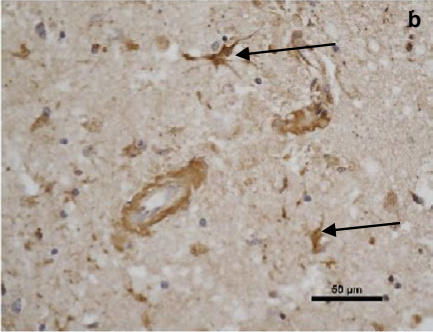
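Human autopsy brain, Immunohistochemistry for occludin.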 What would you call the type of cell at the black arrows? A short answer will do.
Astrocyte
